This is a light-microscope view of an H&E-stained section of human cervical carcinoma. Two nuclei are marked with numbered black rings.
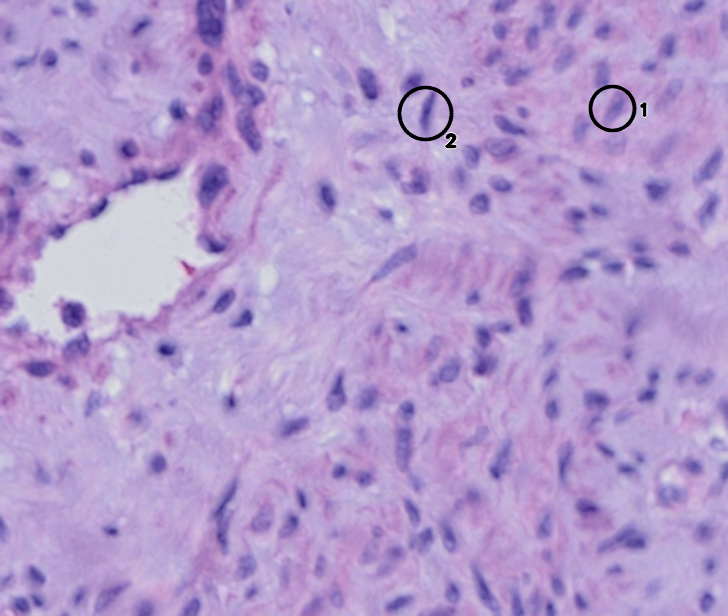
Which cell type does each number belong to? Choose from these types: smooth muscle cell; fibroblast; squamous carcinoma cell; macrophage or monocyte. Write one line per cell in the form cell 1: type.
cell 1: smooth muscle cell
cell 2: fibroblast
